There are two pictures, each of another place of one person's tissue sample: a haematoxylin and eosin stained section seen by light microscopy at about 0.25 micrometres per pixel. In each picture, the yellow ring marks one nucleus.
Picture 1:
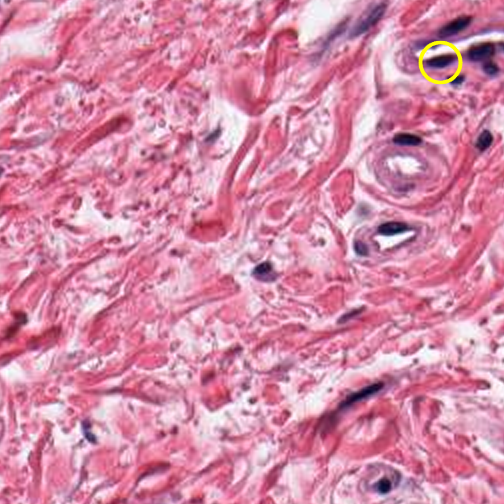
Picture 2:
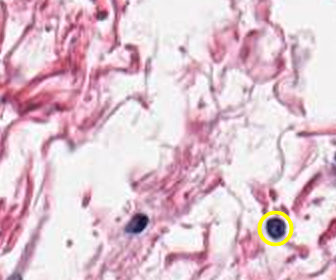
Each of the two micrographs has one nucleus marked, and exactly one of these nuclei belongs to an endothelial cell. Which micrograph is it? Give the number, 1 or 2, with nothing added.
1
